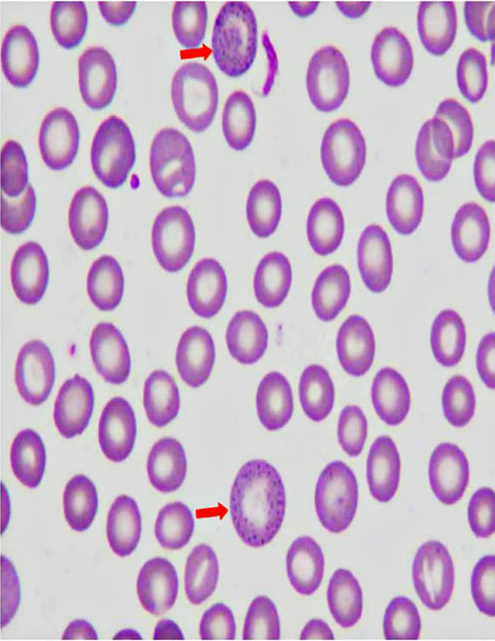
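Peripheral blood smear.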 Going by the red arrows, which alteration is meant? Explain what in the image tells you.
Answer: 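Basophilic stippling. The arrowed cells are anucleate red cells. Their cytoplasm is dotted with many fine dark purple granules. The surrounding red cells are smooth and lack such dots.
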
